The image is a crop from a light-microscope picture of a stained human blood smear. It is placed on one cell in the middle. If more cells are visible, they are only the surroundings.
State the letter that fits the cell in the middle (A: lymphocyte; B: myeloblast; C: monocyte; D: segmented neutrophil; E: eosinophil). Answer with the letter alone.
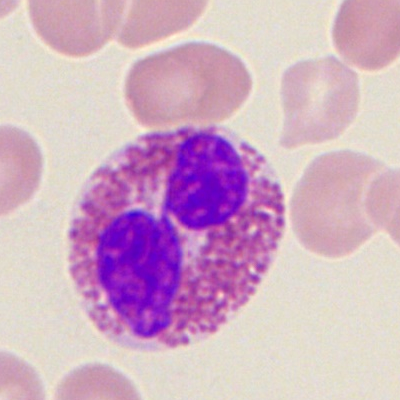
E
